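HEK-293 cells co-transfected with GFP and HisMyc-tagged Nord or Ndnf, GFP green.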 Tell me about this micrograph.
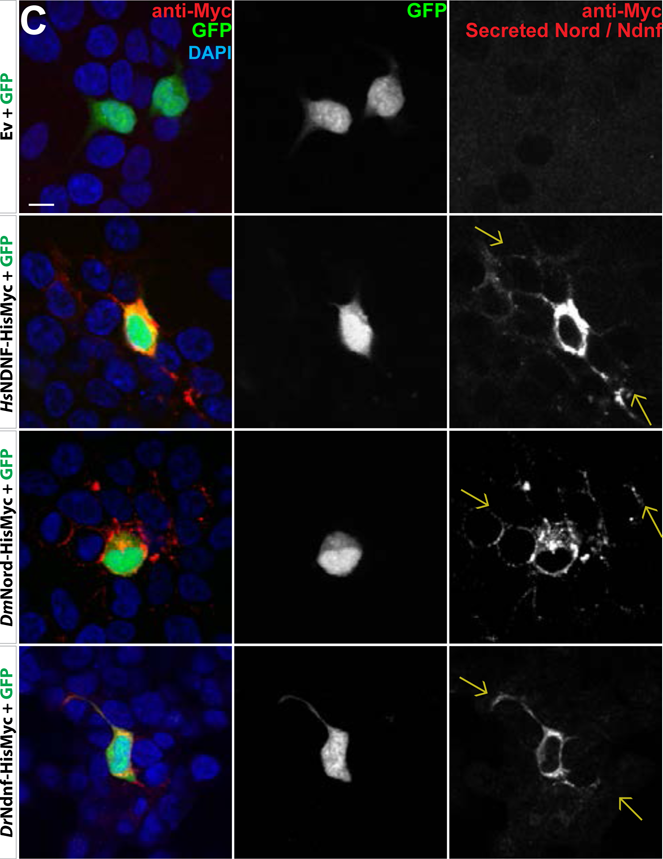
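This is a dense layer of cultured cells whose many round nuclei show blue, packed closely side by side. In each field only one or two cells glow green throughout, and in most rows red lines their outline and spreads as fine dots and streaks over the surfaces of the unlabelled neighbouring cells, several cells away. In one row a green cell sends out a long slender process edged in red.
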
